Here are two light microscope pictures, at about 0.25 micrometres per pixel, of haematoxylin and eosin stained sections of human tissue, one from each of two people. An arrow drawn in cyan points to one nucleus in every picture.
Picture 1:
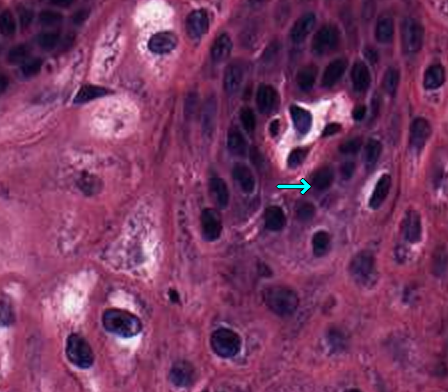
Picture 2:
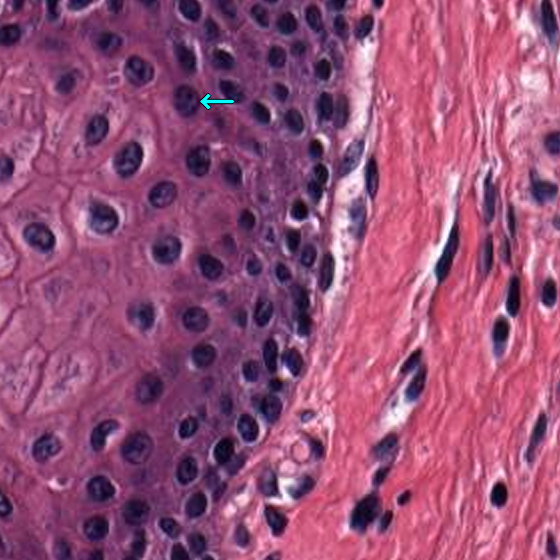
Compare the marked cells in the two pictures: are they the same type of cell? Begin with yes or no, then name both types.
Yes, both are squamous epithelial cells.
